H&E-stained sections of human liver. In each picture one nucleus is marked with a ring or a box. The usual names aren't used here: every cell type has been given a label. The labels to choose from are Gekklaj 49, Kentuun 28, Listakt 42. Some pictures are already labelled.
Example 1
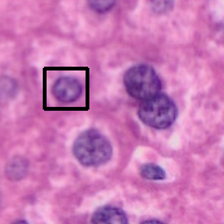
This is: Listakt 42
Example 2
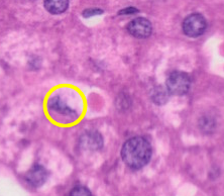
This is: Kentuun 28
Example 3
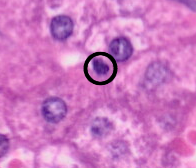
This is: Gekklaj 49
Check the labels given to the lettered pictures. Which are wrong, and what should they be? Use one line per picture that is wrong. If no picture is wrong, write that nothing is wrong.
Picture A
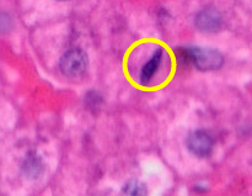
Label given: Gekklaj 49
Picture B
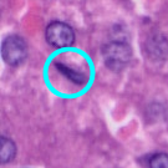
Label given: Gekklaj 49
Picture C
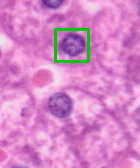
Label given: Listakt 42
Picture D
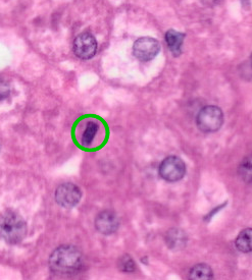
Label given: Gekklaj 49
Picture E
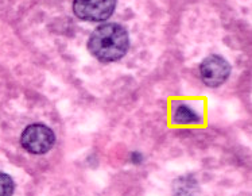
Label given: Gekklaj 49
None of the labels needs changing.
